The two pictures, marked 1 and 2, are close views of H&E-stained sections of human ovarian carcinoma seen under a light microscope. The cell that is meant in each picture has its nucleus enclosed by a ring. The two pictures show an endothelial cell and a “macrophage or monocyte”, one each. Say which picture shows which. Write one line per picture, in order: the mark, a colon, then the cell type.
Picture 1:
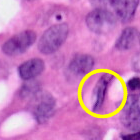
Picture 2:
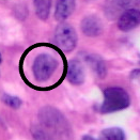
1: endothelial cell
2: macrophage or monocyte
